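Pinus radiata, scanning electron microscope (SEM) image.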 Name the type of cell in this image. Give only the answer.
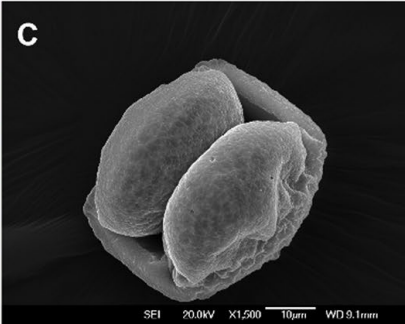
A: pollen grain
